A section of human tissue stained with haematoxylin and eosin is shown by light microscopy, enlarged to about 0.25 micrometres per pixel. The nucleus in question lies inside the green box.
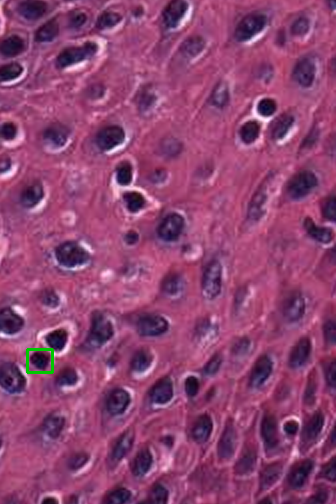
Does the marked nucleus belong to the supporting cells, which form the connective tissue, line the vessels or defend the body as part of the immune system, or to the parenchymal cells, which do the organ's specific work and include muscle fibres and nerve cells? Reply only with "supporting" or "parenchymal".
supporting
